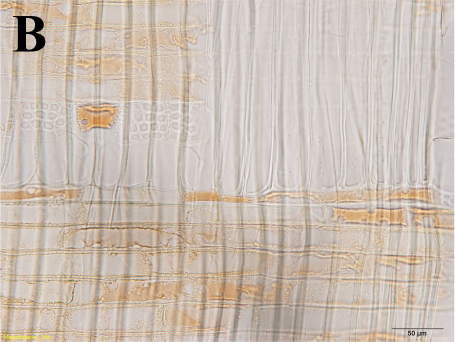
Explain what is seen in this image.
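Radial section of wood in which bands of ray parenchyma cells run horizontally across long, parallel, vertical tracheid-like cells. The ray cells are narrow and rectangular, lying in stacked rows, and many hold orange-brown contents that fill part or all of the cell. Fields of round pits show where ray cells cross the vertical cells. The vertical cells have clear lumens without coloured contents. One short ray cell near the upper left is almost entirely filled with orange-brown material.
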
